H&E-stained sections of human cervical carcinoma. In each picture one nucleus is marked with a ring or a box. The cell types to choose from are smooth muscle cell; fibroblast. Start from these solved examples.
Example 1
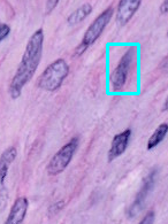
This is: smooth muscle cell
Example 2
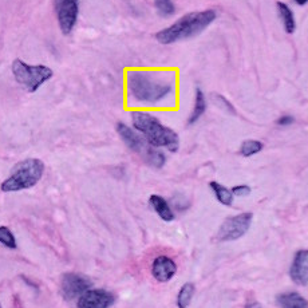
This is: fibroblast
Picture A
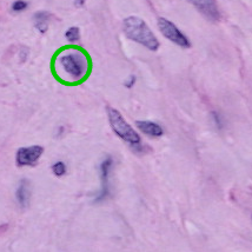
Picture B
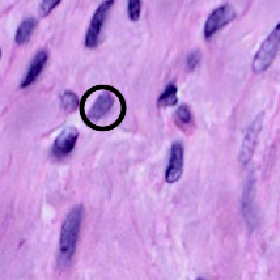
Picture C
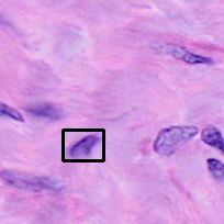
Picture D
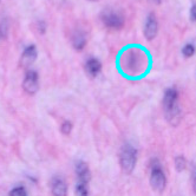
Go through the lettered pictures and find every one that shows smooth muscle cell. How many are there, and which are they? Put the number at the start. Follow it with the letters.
1: D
